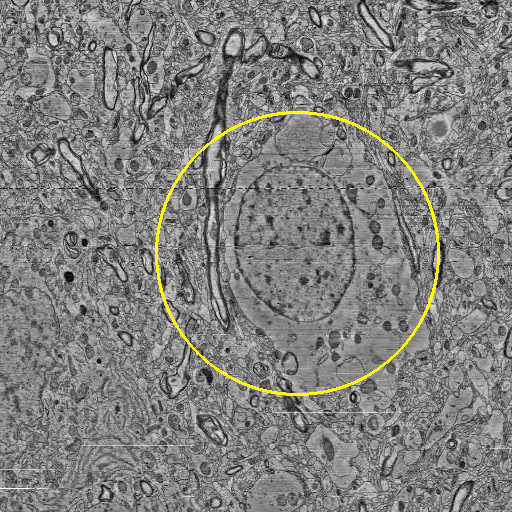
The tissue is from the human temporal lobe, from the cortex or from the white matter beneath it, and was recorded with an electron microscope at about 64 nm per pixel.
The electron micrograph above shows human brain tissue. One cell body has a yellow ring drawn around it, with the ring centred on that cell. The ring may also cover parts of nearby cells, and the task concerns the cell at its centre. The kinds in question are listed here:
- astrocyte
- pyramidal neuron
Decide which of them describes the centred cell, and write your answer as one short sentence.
The centred cell is an astrocyte.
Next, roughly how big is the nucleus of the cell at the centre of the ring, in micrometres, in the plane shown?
In this plane, the nucleus of the cell at the centre of the ring measures about 11 by 8 micrometres.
